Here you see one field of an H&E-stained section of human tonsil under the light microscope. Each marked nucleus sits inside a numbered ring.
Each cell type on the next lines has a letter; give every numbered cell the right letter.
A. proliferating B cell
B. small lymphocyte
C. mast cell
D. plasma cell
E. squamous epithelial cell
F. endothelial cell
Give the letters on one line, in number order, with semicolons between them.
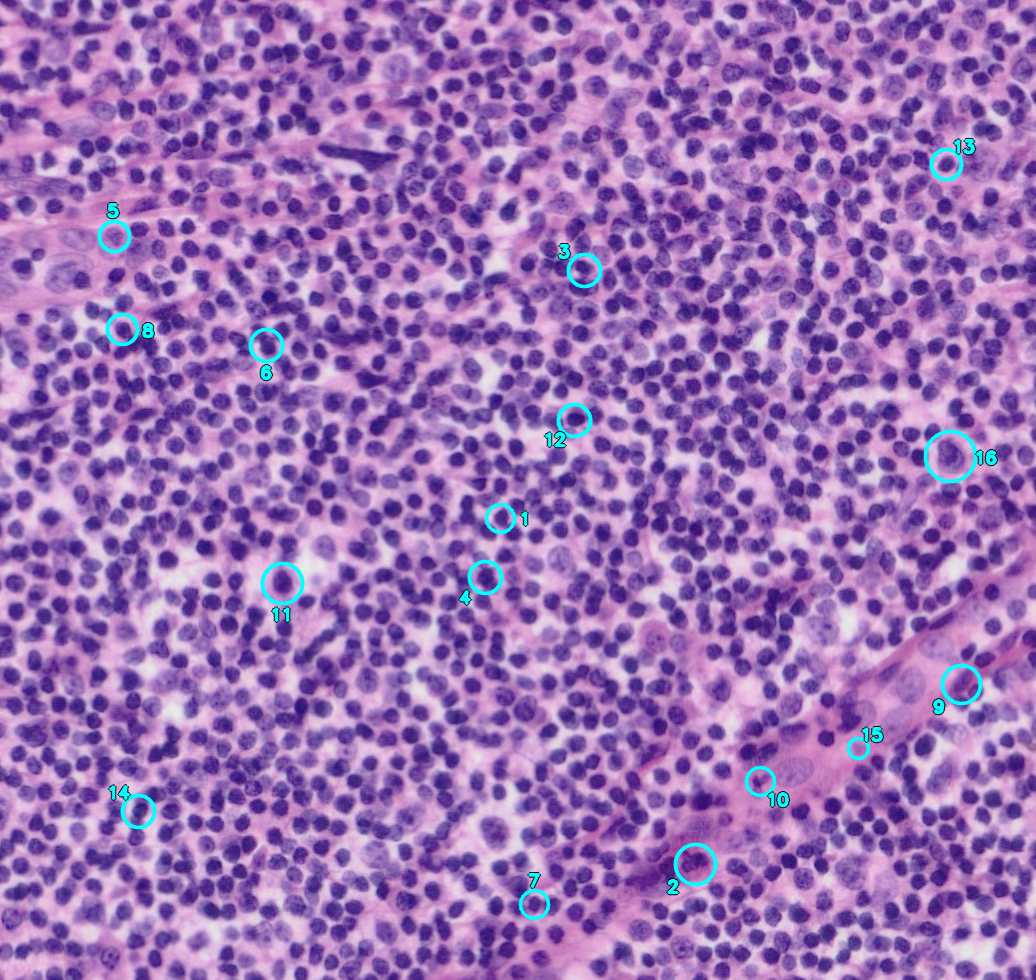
B; F; B; B; F; B; B; B; F; F; A; B; B; B; F; A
